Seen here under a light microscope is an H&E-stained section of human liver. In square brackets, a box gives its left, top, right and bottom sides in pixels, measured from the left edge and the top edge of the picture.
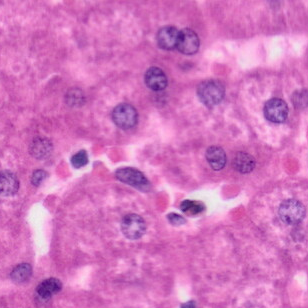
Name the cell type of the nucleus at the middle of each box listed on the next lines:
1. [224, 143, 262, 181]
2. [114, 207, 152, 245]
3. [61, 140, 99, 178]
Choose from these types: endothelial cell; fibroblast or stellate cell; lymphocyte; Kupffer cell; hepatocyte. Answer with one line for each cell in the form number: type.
1: hepatocyte
2: hepatocyte
3: lymphocyte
